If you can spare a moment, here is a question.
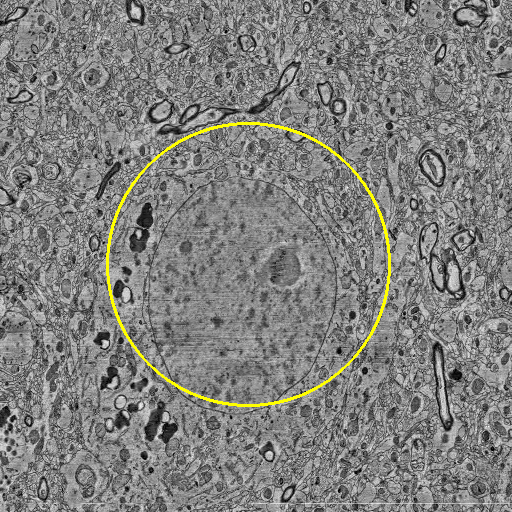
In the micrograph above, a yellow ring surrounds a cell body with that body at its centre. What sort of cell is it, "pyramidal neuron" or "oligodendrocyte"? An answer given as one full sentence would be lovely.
Centred inside the yellow ring, the cell body shown belongs to a pyramidal neuron in this micrograph.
